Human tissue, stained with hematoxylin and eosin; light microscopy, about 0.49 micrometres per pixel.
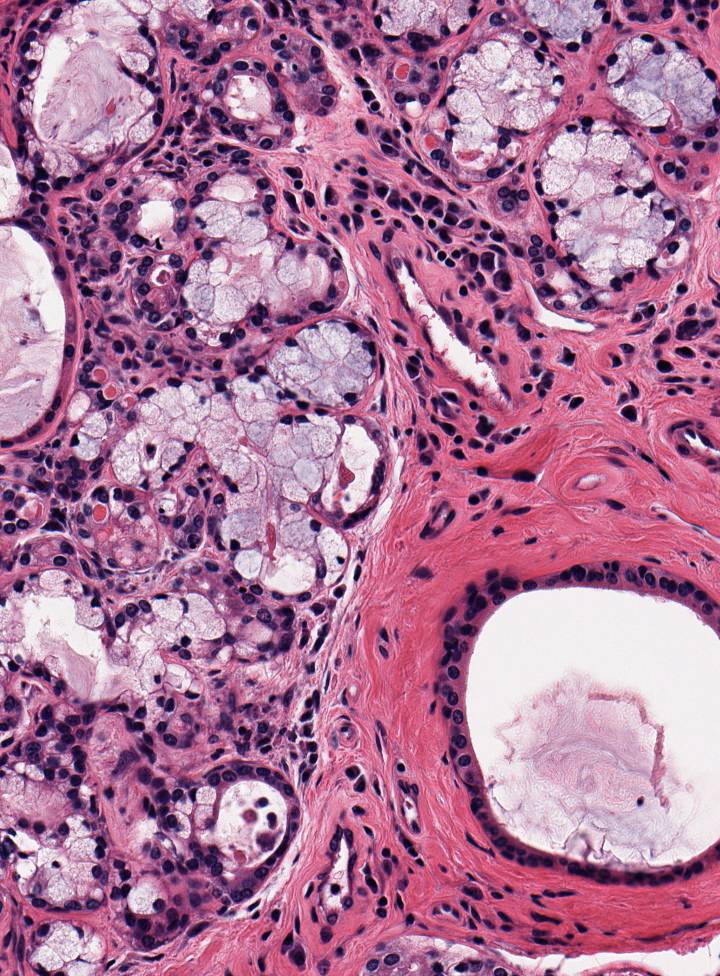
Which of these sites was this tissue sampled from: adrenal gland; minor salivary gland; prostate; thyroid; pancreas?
minor salivary gland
